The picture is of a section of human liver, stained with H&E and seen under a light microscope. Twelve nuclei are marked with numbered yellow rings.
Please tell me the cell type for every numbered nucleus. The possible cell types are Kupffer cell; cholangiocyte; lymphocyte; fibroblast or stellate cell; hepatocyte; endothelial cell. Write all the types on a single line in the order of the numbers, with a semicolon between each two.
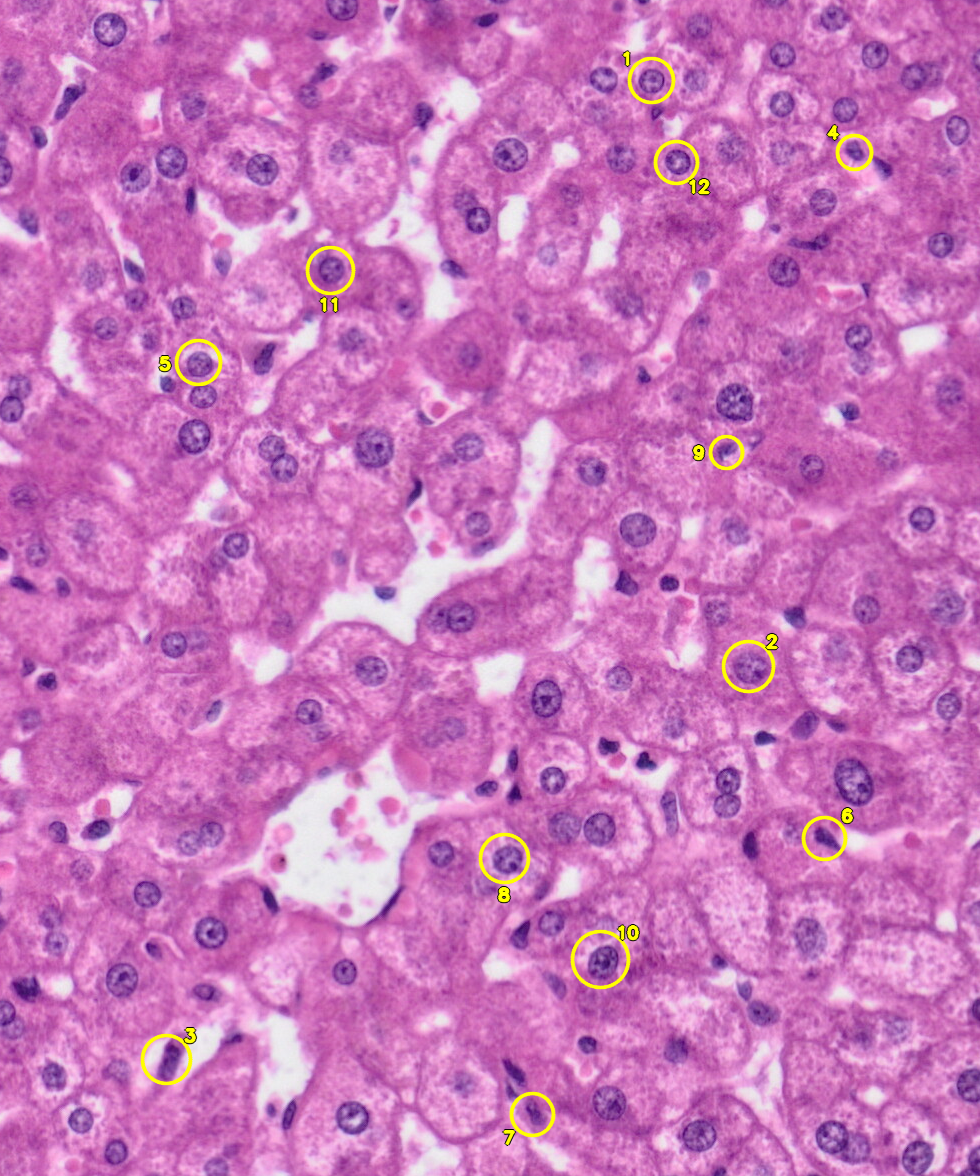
hepatocyte; hepatocyte; Kupffer cell; lymphocyte; hepatocyte; fibroblast or stellate cell; Kupffer cell; hepatocyte; endothelial cell; hepatocyte; hepatocyte; hepatocyte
